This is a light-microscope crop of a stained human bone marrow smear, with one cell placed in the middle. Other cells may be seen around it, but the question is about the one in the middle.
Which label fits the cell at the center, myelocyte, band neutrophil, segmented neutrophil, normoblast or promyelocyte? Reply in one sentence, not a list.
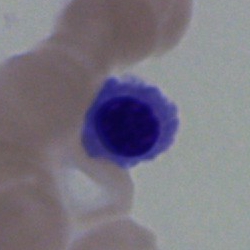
What the crop centres on is a normoblast.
